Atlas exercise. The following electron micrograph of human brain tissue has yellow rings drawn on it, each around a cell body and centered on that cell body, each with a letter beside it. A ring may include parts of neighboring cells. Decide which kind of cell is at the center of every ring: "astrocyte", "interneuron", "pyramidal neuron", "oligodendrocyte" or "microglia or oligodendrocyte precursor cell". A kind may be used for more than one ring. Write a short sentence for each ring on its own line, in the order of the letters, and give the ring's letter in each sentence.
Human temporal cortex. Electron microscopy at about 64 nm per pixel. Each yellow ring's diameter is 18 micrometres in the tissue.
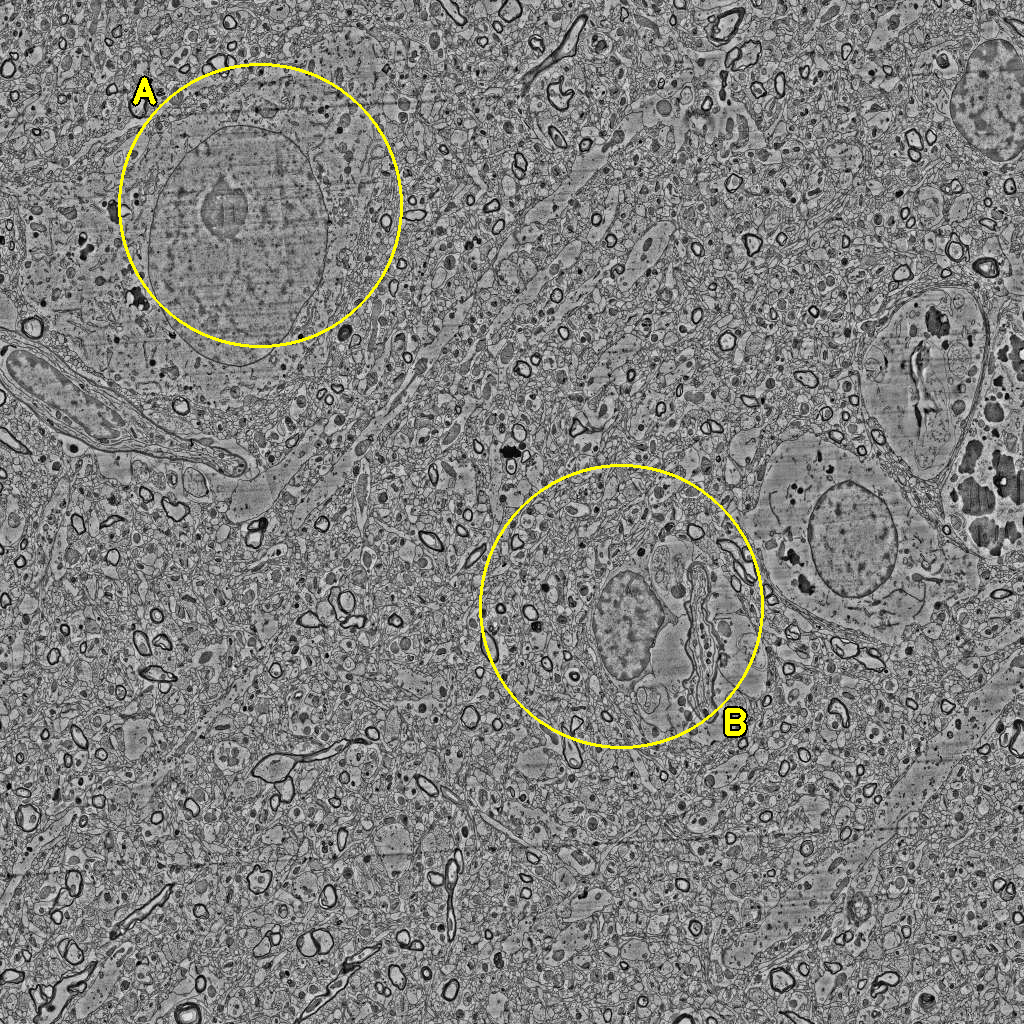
Ring A frames a pyramidal neuron at its center.
Ring B frames an oligodendrocyte at its center.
